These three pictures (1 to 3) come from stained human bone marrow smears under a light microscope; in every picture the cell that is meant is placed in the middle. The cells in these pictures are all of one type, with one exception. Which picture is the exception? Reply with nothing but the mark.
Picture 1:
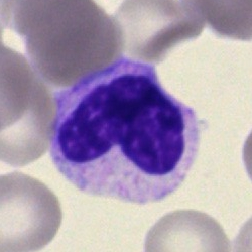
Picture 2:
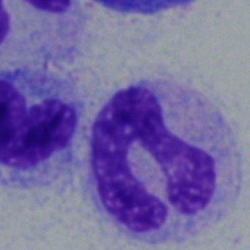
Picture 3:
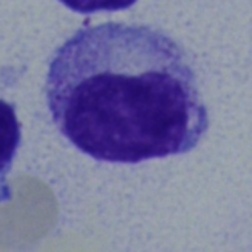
2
